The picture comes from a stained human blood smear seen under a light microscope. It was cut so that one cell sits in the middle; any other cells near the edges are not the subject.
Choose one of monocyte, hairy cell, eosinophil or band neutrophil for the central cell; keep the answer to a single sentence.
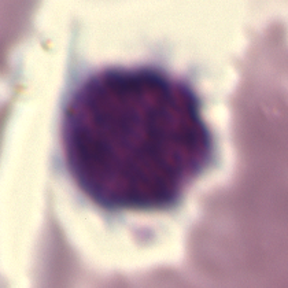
By classification, the middle cell of this crop is a hairy cell.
